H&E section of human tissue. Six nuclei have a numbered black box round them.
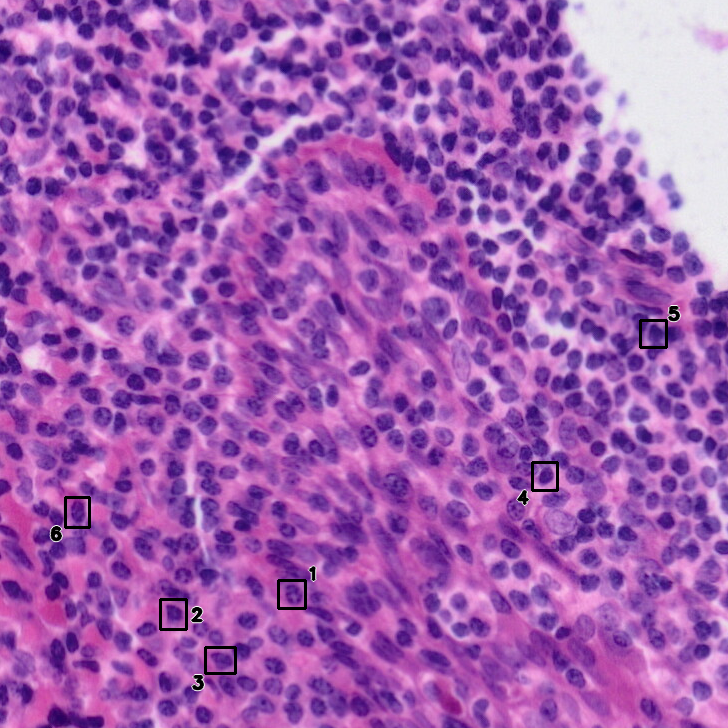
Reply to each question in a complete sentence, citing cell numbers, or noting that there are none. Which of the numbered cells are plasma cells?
The cells with the numbers 1, 2, 3 and 6 are plasma cells.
